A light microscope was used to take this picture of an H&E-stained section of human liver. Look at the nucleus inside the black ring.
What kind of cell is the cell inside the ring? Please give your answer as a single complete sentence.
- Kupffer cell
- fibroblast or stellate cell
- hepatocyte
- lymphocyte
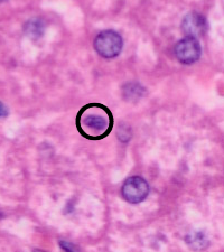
Cell type answer for this item: the cell inside the ring is a lymphocyte.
